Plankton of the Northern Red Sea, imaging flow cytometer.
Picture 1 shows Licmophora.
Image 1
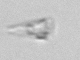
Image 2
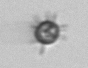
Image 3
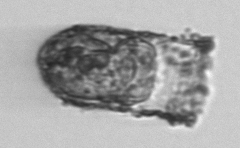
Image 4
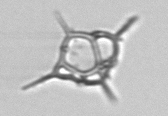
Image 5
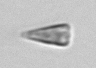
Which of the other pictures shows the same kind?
Picture 5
